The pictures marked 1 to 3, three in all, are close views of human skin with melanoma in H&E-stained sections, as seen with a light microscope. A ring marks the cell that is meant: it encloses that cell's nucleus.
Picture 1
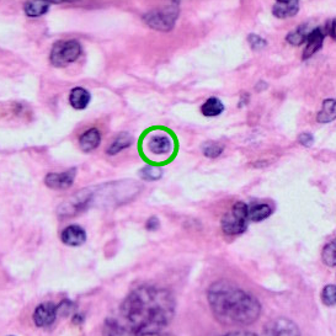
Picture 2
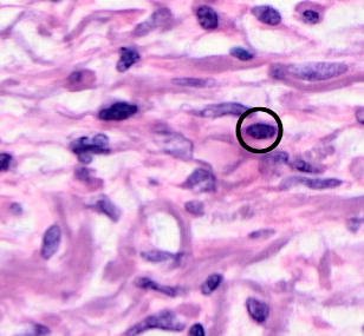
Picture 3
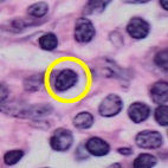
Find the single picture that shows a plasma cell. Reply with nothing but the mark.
2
